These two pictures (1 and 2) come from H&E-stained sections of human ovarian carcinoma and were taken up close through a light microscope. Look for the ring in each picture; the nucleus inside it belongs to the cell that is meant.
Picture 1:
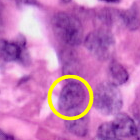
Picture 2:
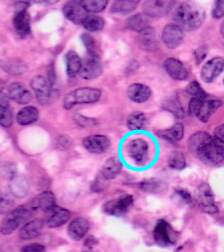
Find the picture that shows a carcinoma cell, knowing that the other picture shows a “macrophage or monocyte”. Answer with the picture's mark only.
1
